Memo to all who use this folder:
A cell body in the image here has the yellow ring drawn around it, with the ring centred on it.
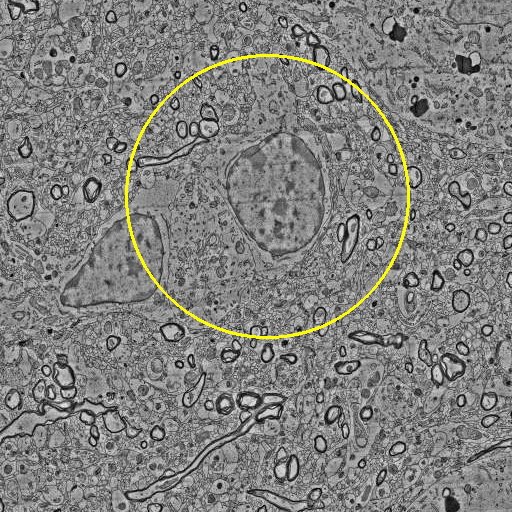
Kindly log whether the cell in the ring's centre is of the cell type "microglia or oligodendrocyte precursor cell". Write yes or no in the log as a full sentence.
Yes, logged: the ring in this image is centred on a cell of that type.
